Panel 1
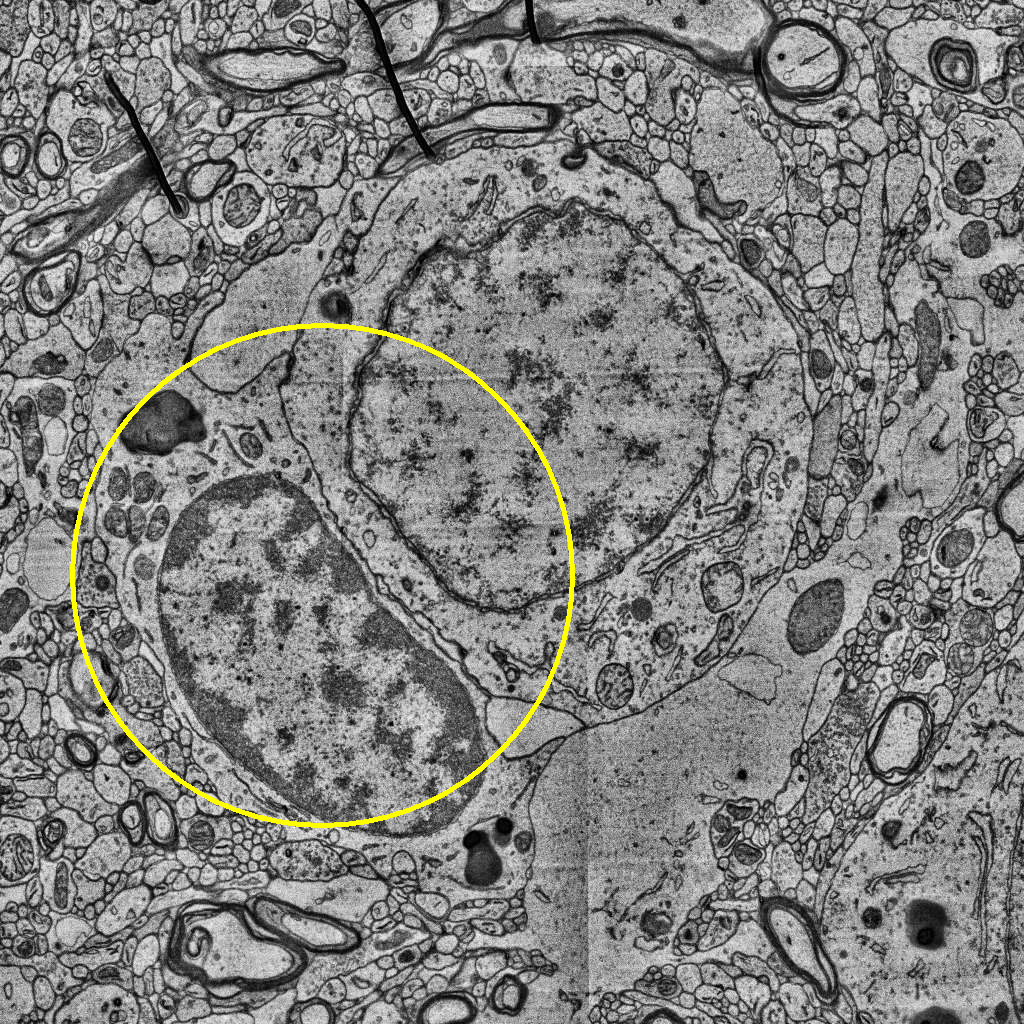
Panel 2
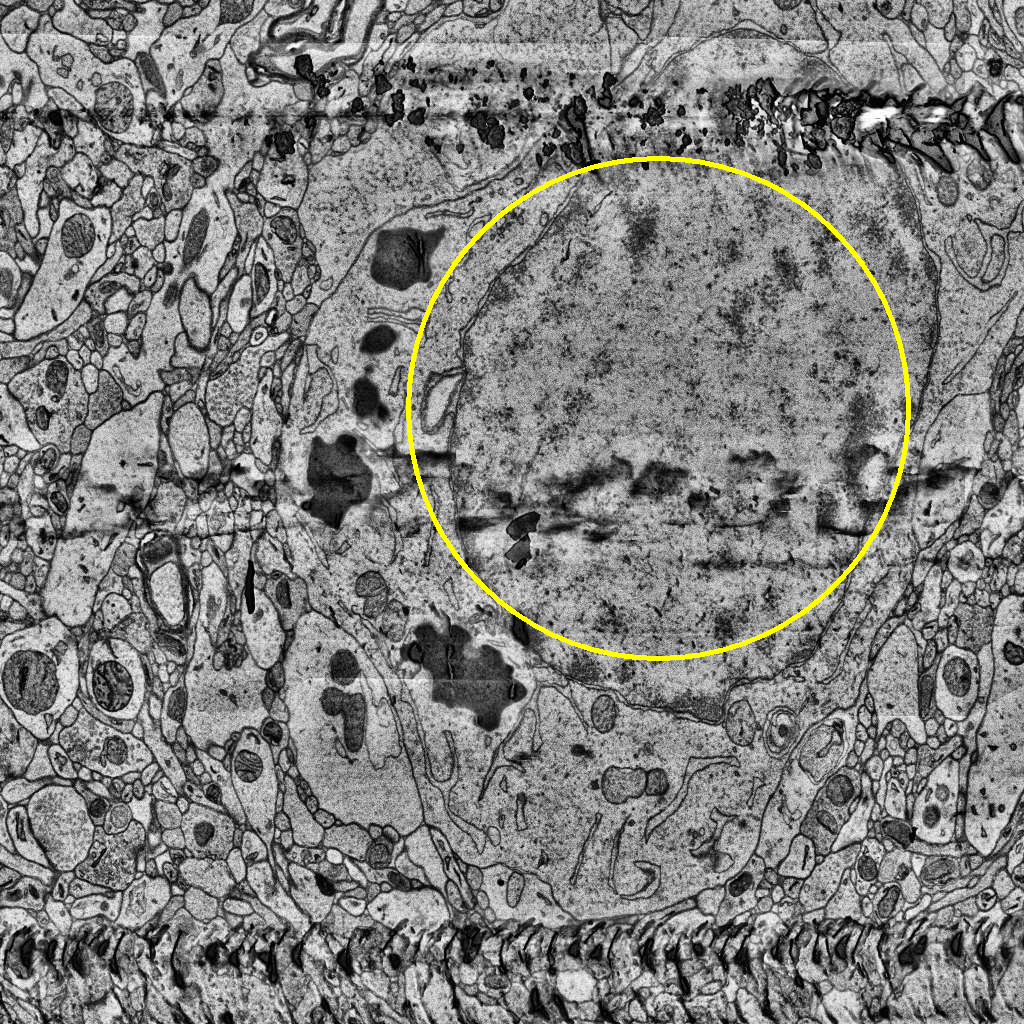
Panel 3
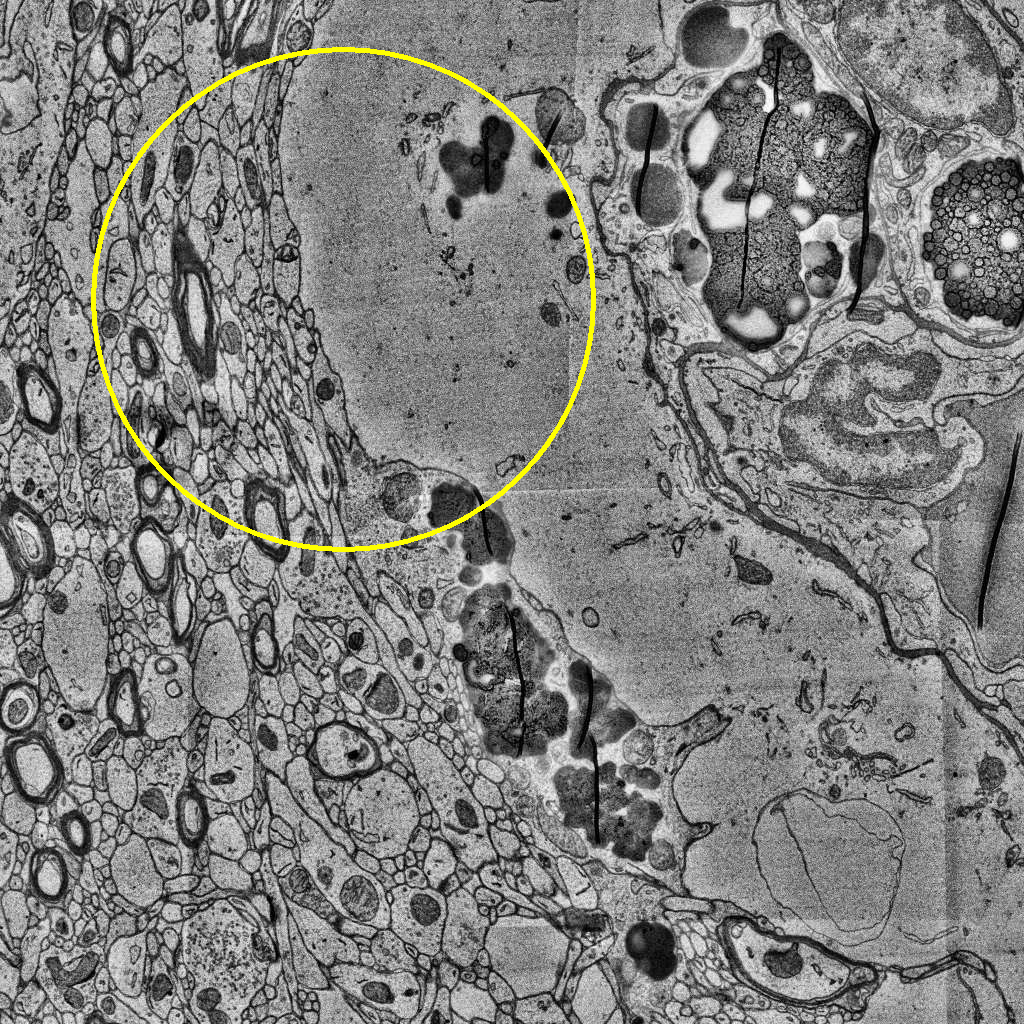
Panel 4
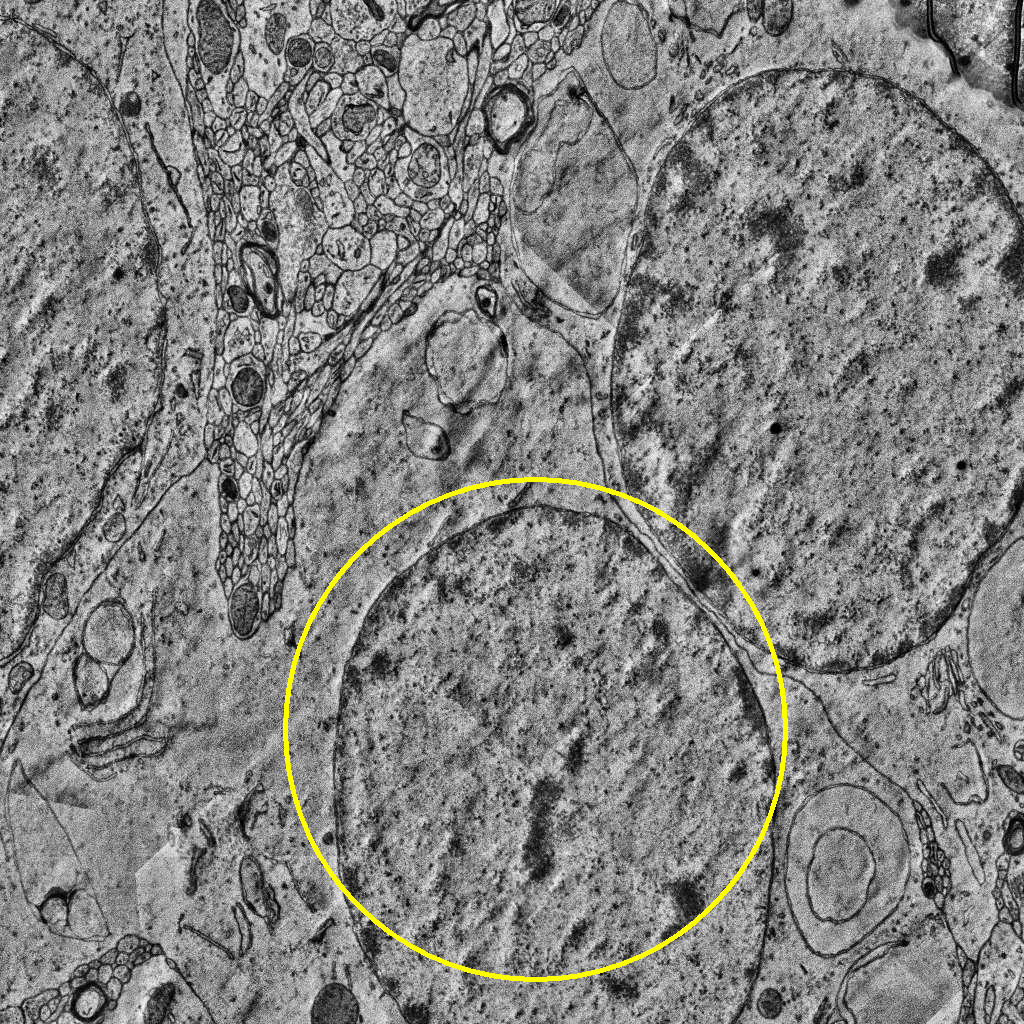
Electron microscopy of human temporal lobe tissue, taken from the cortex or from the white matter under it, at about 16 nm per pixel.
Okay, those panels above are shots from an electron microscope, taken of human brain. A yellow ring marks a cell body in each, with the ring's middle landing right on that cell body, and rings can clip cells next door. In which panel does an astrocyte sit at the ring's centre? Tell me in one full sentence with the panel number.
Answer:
The cell you asked for has the ring's centre inside it in panel 4.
